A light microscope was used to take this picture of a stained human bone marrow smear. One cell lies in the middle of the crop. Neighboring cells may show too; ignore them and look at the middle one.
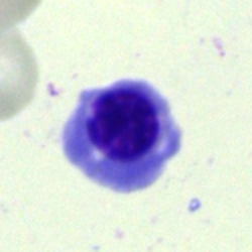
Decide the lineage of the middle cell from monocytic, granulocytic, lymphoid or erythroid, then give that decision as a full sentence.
The central cell originates in the erythroid lineage.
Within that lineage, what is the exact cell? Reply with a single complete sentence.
The cell that lies at the centre of the crop is an erythroblast.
